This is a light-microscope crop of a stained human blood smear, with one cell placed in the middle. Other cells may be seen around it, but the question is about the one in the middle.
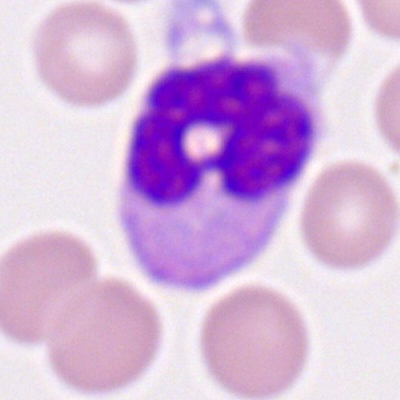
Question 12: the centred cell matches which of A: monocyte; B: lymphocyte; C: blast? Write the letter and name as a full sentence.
In this crop the central cell is a monocyte, which option A correctly states.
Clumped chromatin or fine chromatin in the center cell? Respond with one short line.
The nucleus shows chromatin that is coarsely clumped.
